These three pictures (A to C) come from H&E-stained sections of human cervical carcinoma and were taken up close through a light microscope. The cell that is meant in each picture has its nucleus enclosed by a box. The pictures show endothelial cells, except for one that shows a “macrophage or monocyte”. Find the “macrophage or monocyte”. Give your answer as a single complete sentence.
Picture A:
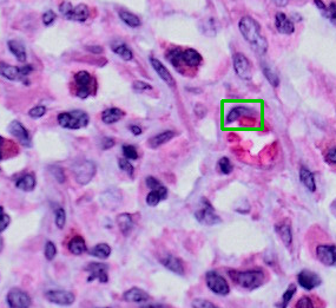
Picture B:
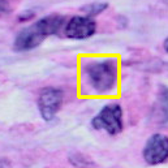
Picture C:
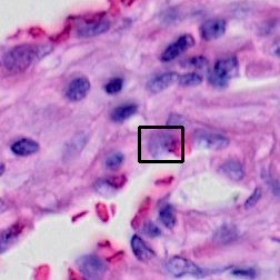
It is picture B that shows the “macrophage or monocyte”.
